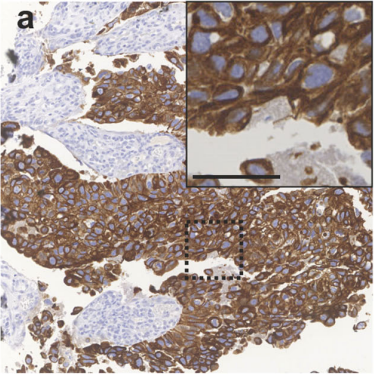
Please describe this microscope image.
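Nests and sheets of tumor cells surround pale fibrovascular stromal cores with spindle-shaped stromal nuclei. The tumor cells show strong brown cytoplasmic and membranous staining throughout, with oval blue nuclei of varying size, while the stroma remains unstained.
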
